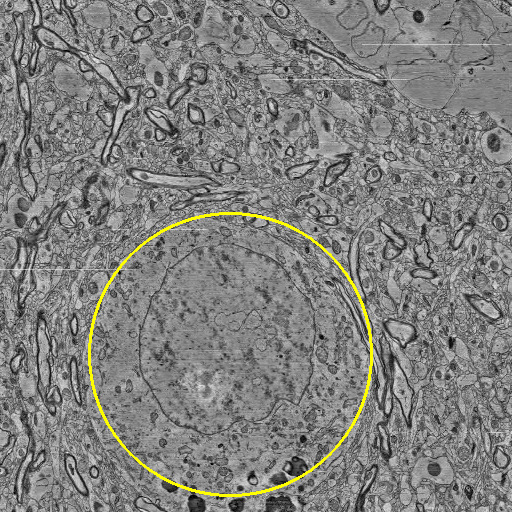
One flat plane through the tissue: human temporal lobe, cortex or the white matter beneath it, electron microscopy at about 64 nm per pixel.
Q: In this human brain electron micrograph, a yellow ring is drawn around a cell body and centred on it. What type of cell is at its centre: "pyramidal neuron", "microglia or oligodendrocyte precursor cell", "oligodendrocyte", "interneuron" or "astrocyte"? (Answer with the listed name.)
pyramidal neuron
